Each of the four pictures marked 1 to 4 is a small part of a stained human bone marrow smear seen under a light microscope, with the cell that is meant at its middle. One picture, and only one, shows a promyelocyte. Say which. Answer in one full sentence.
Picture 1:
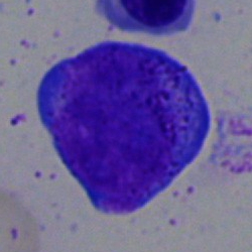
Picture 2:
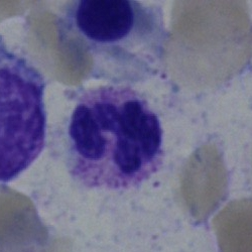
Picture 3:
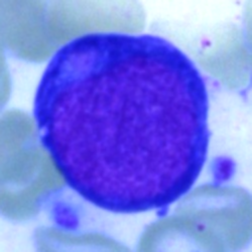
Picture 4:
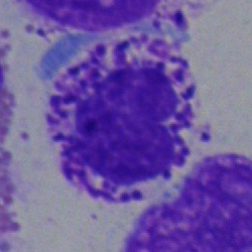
Picture 1 shows the promyelocyte.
